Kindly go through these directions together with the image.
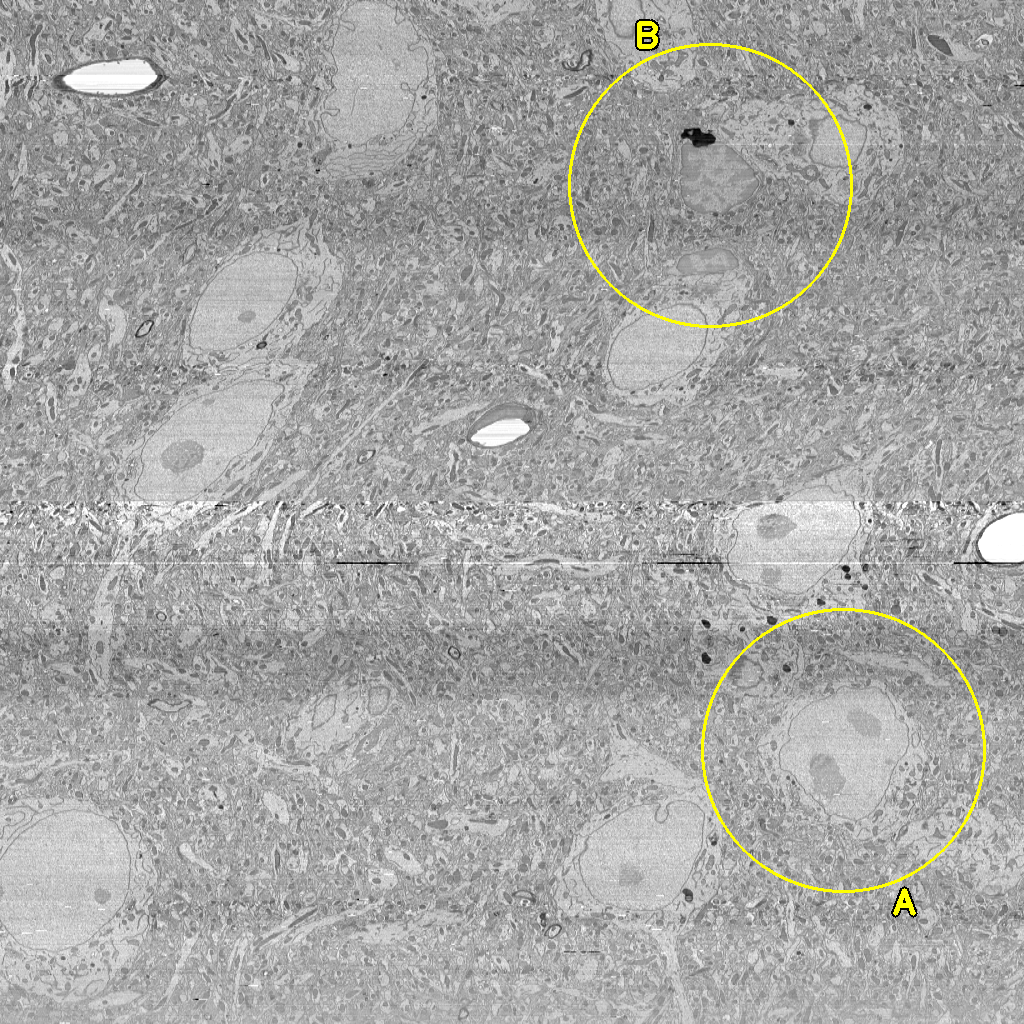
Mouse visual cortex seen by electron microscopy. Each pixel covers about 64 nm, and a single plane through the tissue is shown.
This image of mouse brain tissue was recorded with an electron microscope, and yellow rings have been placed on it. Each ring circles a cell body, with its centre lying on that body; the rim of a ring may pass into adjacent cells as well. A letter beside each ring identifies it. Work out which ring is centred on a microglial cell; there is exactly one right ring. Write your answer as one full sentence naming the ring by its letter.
Ring B is the one whose centre lies on a cell of that kind.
